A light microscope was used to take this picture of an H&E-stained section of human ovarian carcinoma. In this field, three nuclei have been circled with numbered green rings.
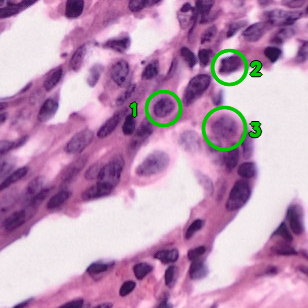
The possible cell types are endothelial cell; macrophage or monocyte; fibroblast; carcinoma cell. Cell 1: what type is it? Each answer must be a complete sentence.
Number 1 is placed on a macrophage or monocyte here.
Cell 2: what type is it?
Among the marked cells, number 2 is a carcinoma cell.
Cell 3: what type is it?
The cell carrying label 3 is identified as a carcinoma cell.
